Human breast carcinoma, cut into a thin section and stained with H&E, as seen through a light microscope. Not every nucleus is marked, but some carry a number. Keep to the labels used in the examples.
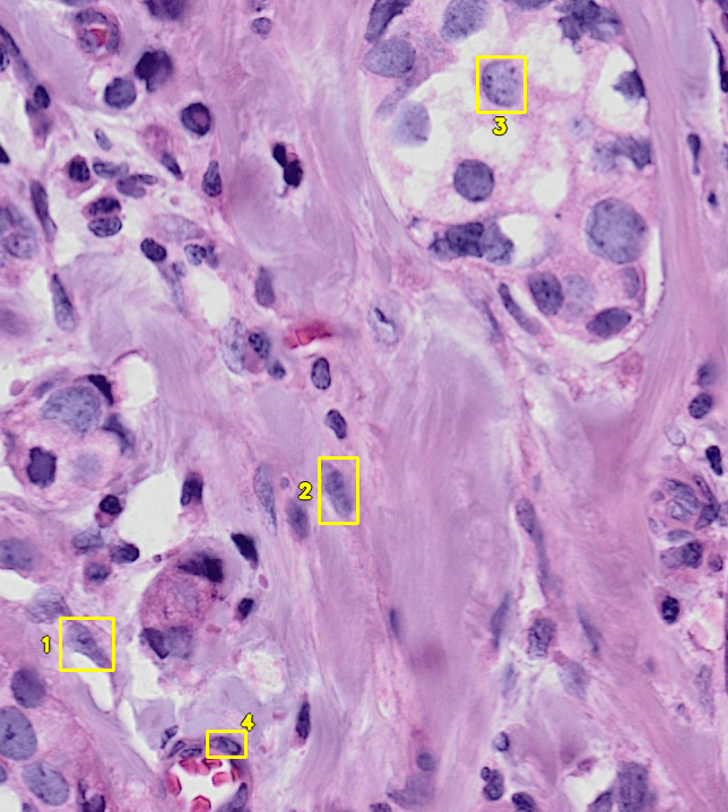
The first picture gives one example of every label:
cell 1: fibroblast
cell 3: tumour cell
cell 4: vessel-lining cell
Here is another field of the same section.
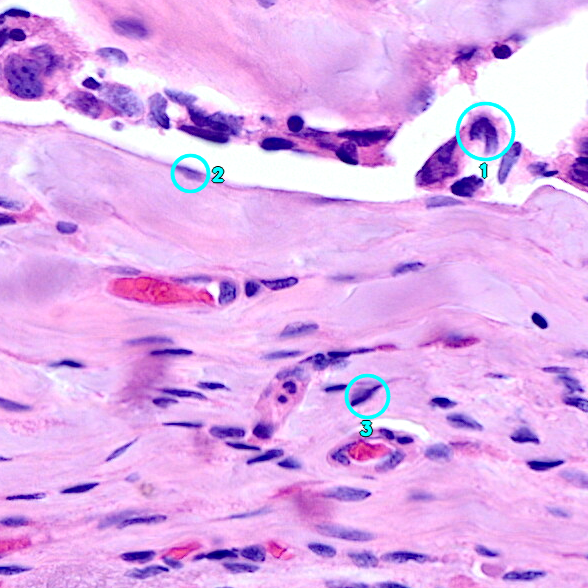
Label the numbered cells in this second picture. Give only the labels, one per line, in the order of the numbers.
tumour cell
fibroblast
fibroblast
